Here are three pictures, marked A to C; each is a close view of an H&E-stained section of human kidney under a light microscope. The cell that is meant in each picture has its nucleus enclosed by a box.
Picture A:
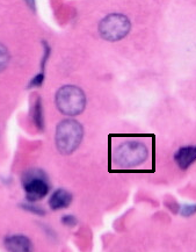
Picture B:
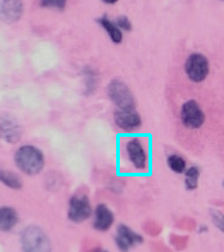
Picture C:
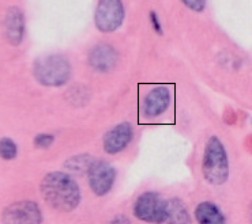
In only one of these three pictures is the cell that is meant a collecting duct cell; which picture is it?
C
